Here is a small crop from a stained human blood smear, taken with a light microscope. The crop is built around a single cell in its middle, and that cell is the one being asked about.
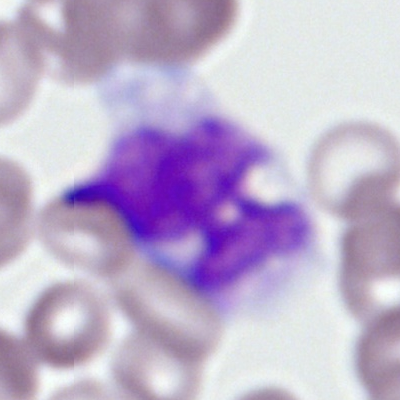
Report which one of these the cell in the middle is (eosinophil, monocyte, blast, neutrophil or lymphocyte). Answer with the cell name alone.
monocyte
